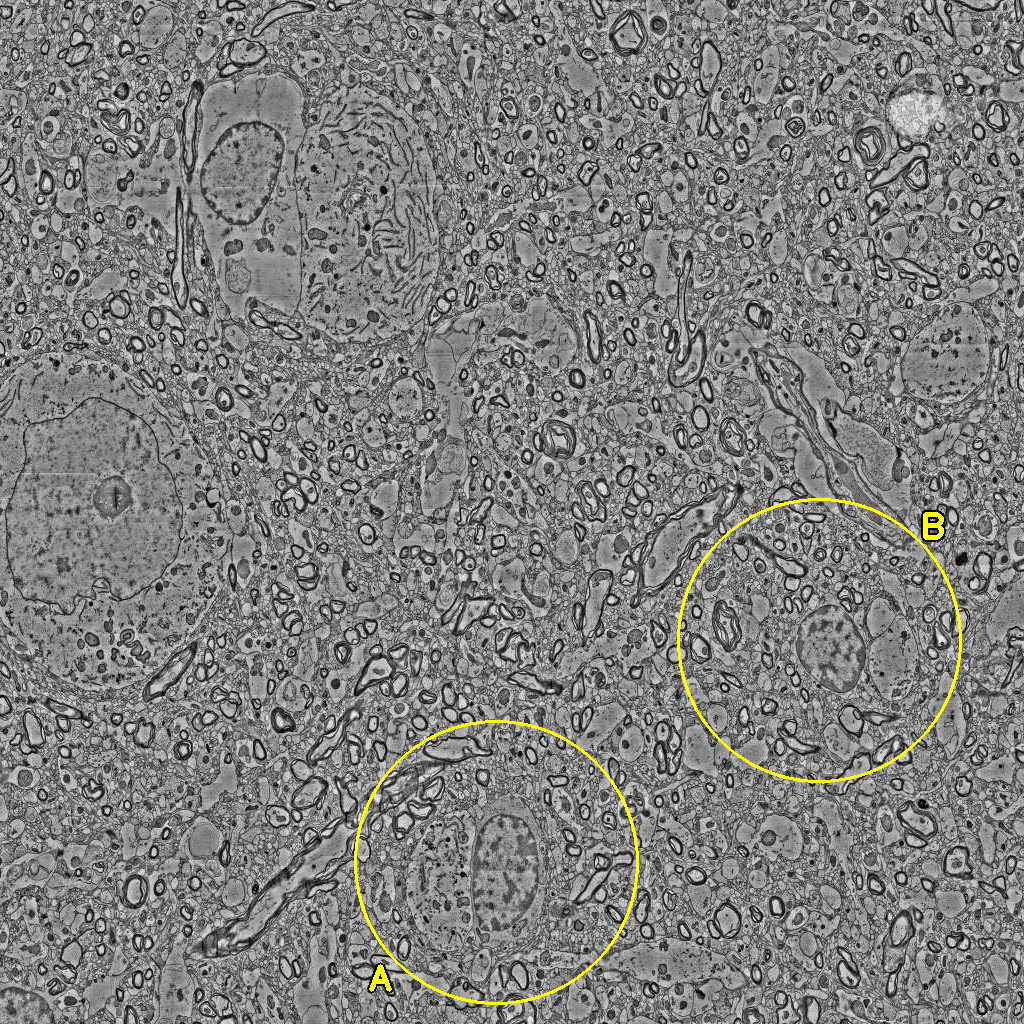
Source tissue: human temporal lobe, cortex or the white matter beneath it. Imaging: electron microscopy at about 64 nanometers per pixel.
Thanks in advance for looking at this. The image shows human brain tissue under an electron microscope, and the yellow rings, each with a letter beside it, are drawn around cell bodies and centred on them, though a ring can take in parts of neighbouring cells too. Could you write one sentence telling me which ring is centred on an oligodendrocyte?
Ring A is centred on it.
